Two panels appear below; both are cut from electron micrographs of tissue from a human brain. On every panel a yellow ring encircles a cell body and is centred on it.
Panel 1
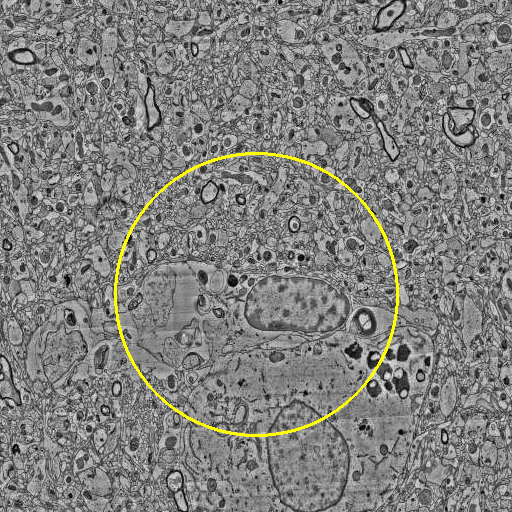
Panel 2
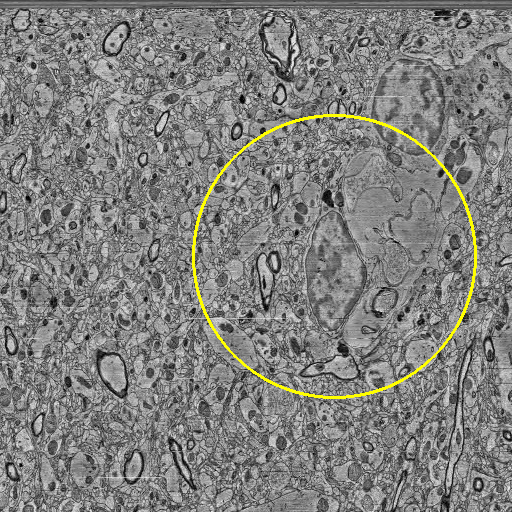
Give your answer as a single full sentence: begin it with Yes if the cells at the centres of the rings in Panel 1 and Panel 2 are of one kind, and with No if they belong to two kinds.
Yes, the cells in the middle of the rings in Panels 1 and 2 are of one kind.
